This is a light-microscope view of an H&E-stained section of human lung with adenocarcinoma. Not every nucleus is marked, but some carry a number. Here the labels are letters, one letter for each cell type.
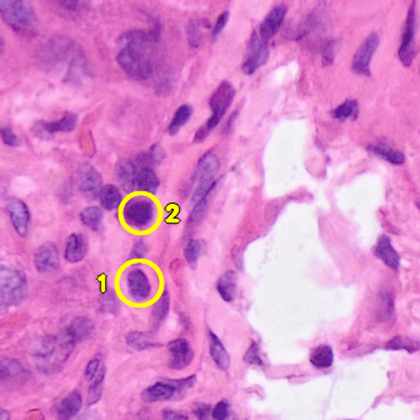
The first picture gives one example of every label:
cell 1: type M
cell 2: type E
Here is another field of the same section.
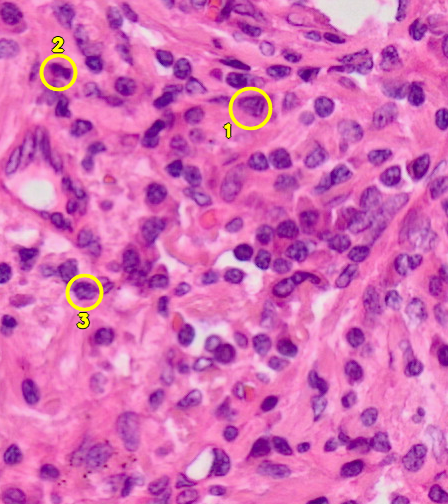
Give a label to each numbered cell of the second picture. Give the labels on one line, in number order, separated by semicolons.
type E; type E; type M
